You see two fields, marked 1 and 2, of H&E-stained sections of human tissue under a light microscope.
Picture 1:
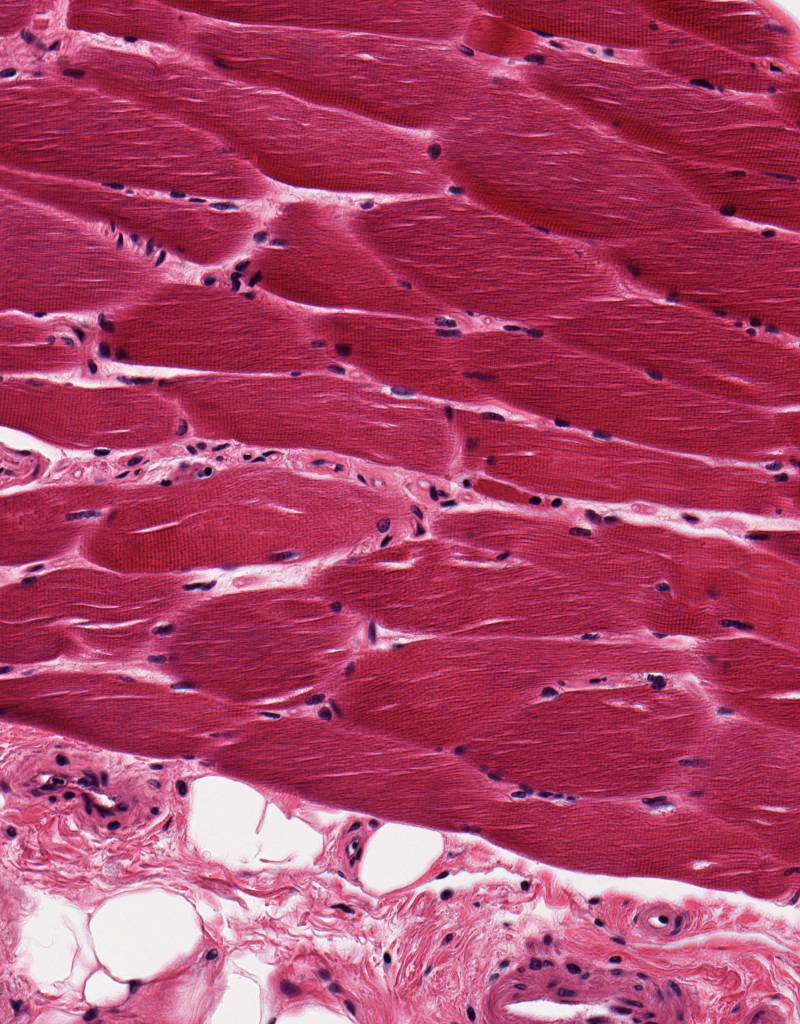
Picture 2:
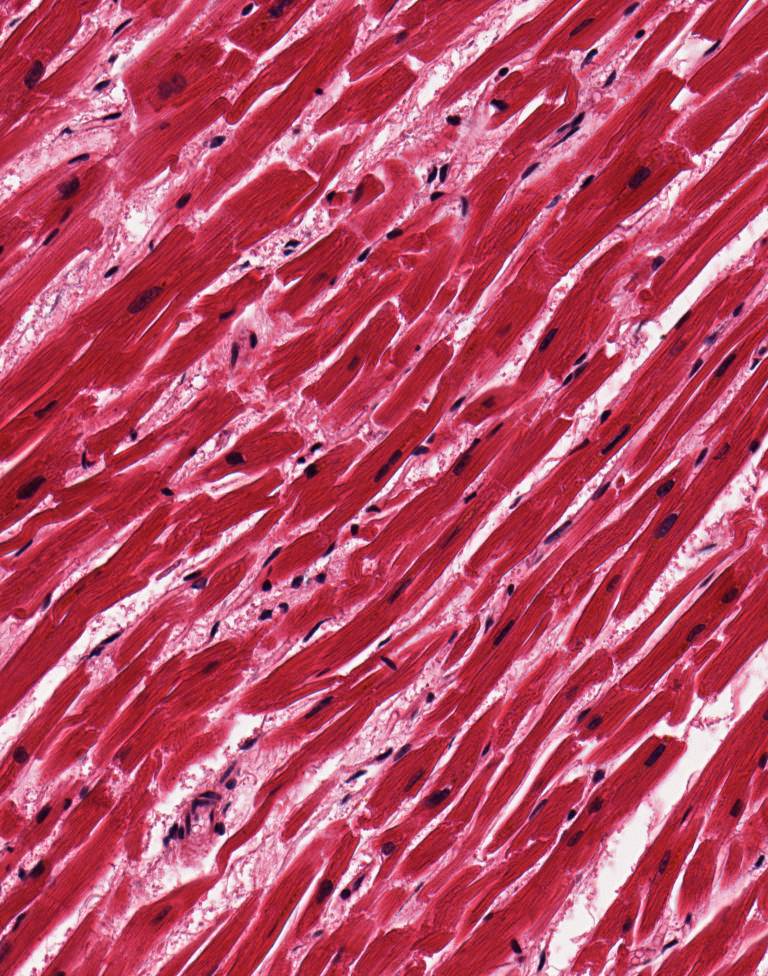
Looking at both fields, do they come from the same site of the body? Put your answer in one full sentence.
No: picture 1 comes from skeletal muscle, but picture 2 comes from the left ventricle of the heart.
